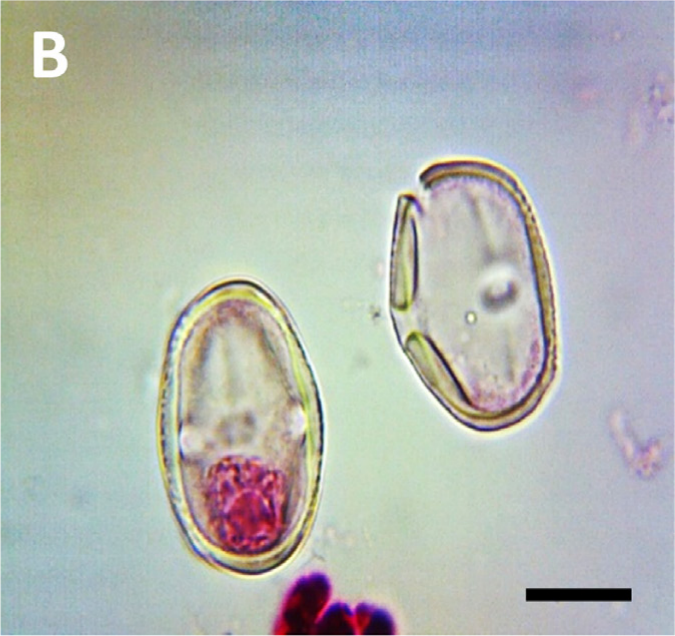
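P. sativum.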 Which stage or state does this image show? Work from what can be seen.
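Sterile pollen grain. Two oval grains with thick clear walls. Their contents are mostly pale and unstained.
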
